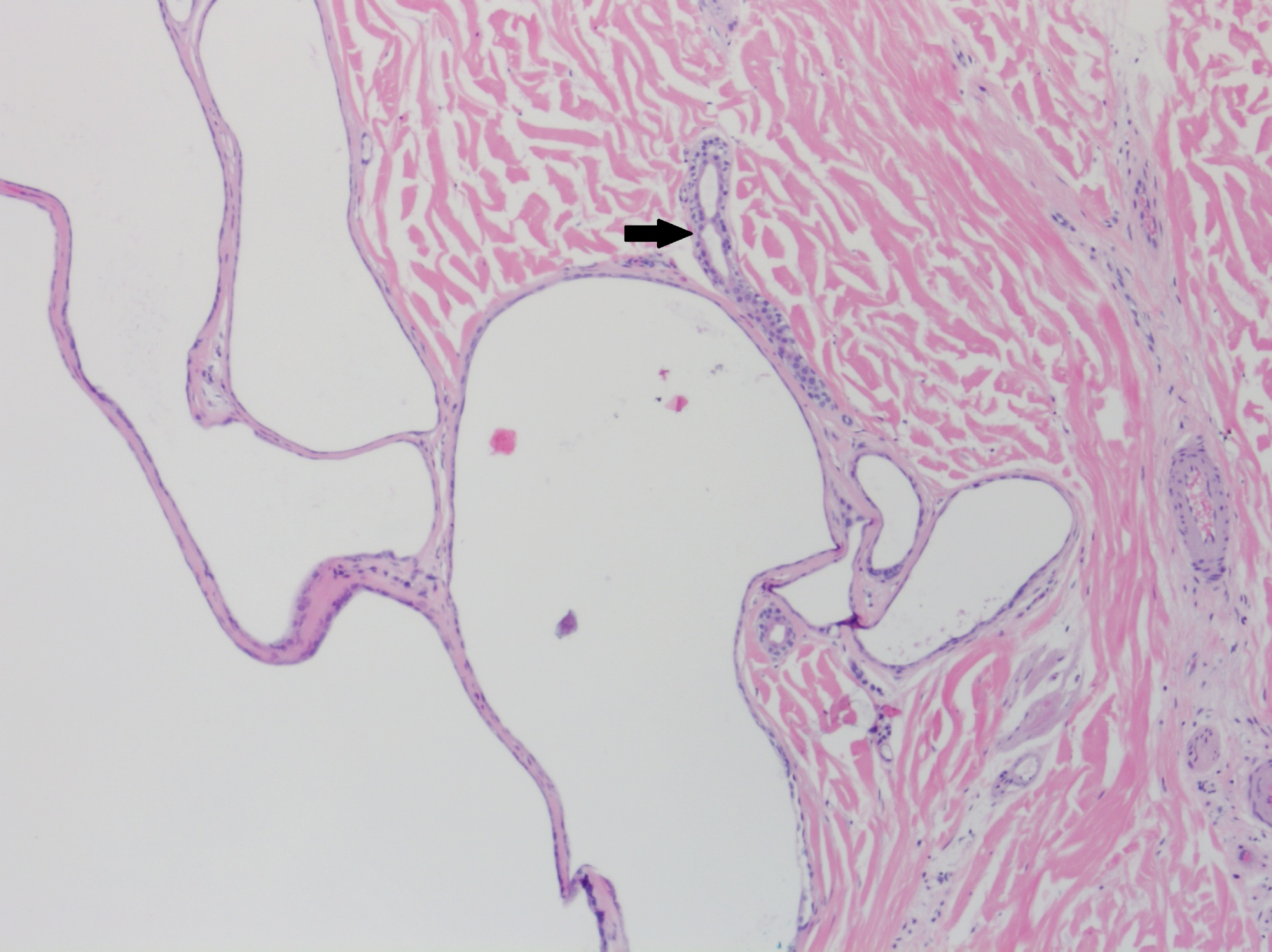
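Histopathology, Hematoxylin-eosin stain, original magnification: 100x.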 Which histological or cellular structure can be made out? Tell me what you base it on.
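Several large empty spaces are separated by thin septa. The spaces are lined by a thin layer of cells with small purple nuclei. The spaces lie within dense pink collagen bundles.
Hence: multiloculated.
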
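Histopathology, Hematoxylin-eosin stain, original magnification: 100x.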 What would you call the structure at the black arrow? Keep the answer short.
eccrine duct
